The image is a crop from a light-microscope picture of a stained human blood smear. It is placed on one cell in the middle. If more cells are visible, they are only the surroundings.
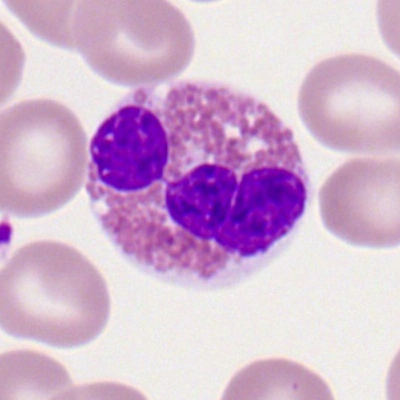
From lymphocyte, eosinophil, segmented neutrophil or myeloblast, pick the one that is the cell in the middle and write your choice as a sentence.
The cell at the centre of the field is an eosinophil.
